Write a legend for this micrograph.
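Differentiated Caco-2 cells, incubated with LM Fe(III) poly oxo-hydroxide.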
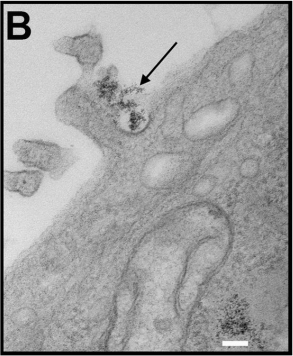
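At high magnification the cell membrane of this epithelial cell folds inward into a small invagination, and dark granular electron-dense material sits within that pocket. A few cut microvilli stand in the space outside the cell, and the cytoplasm below holds pale membrane-bound profiles.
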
